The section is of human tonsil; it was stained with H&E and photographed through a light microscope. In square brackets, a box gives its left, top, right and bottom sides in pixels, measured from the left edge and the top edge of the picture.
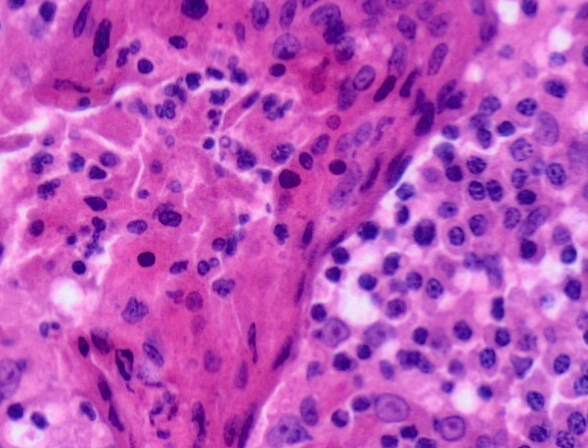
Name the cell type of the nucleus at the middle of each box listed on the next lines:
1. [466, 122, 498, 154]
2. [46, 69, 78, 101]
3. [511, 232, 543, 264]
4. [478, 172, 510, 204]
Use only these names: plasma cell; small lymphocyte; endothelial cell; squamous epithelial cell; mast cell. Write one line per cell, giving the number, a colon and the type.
1: plasma cell
2: squamous epithelial cell
3: plasma cell
4: plasma cell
